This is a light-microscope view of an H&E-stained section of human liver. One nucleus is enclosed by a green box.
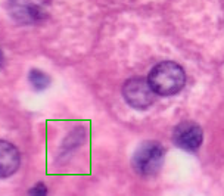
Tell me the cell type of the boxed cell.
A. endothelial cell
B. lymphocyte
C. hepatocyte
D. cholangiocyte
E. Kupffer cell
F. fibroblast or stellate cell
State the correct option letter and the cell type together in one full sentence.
Option E wins here: the boxed cell is a Kupffer cell.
